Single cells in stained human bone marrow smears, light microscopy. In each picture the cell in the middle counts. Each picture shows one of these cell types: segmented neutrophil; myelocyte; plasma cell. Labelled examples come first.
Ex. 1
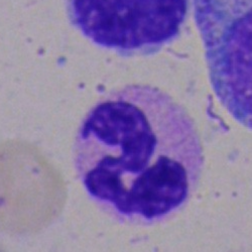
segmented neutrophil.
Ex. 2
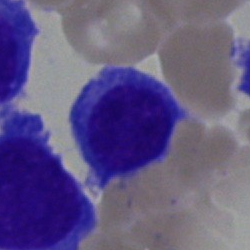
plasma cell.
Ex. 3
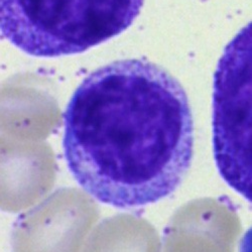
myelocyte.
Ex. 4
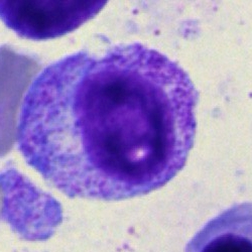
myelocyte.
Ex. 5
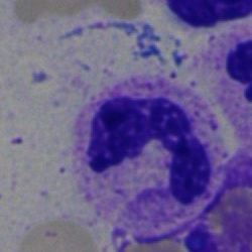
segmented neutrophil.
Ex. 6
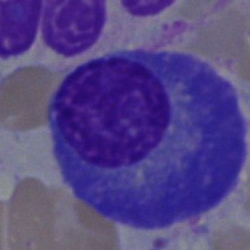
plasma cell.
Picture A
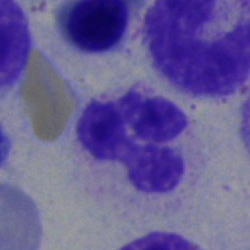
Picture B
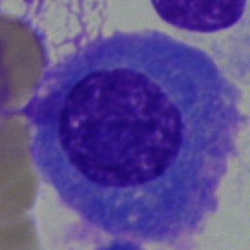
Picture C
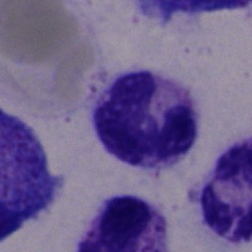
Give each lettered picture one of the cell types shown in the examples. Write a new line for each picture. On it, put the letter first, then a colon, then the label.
A: segmented neutrophil.
B: plasma cell.
C: segmented neutrophil.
